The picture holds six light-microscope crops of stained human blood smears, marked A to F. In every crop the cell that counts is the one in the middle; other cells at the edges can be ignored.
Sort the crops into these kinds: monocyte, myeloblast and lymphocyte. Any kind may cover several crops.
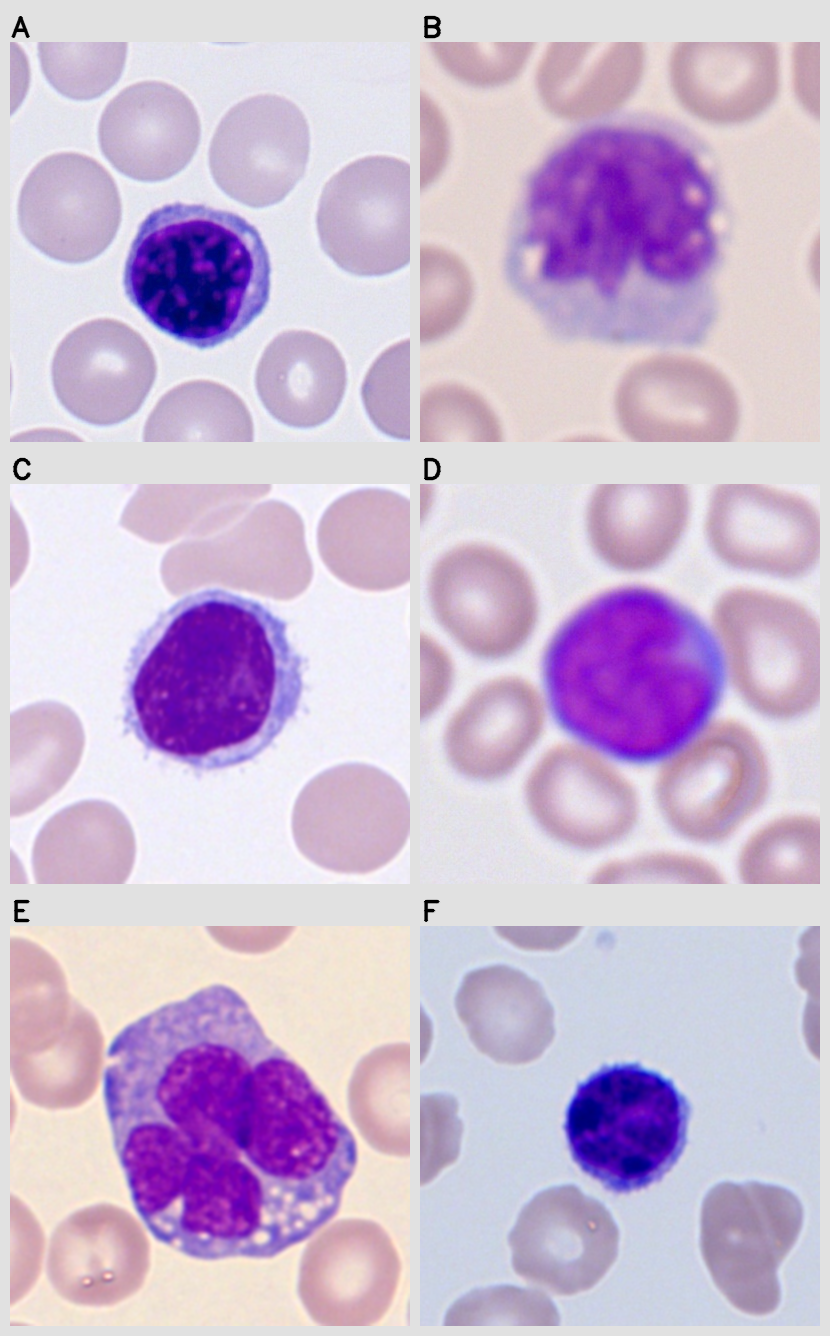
A: lymphocyte
B: monocyte
C: lymphocyte
D: myeloblast
E: monocyte
F: lymphocyte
